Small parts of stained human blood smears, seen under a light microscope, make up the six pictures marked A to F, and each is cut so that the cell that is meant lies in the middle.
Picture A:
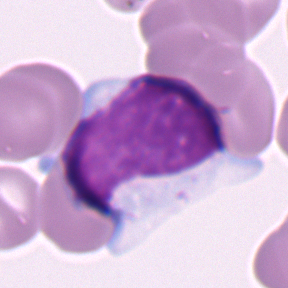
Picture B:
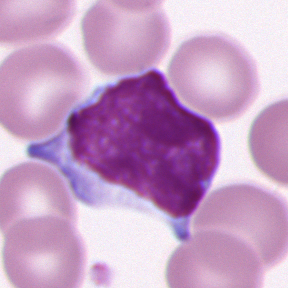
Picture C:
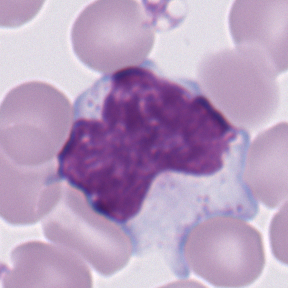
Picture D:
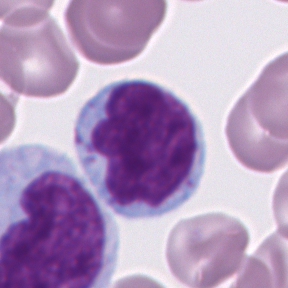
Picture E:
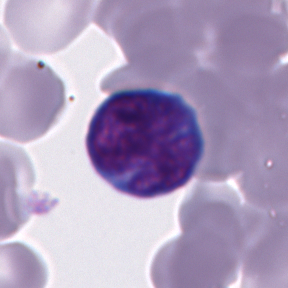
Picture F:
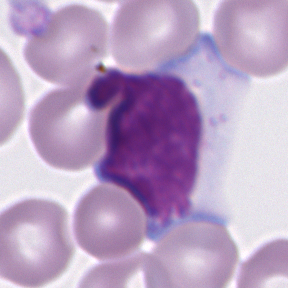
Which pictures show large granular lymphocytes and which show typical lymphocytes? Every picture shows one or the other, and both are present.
A: large granular lymphocyte
B: typical lymphocyte
C: large granular lymphocyte
D: large granular lymphocyte
E: typical lymphocyte
F: large granular lymphocyte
